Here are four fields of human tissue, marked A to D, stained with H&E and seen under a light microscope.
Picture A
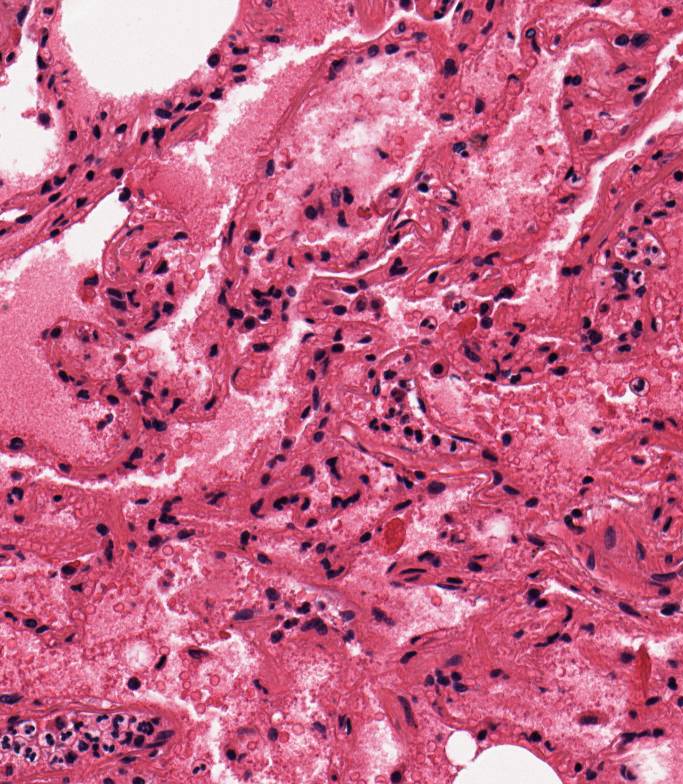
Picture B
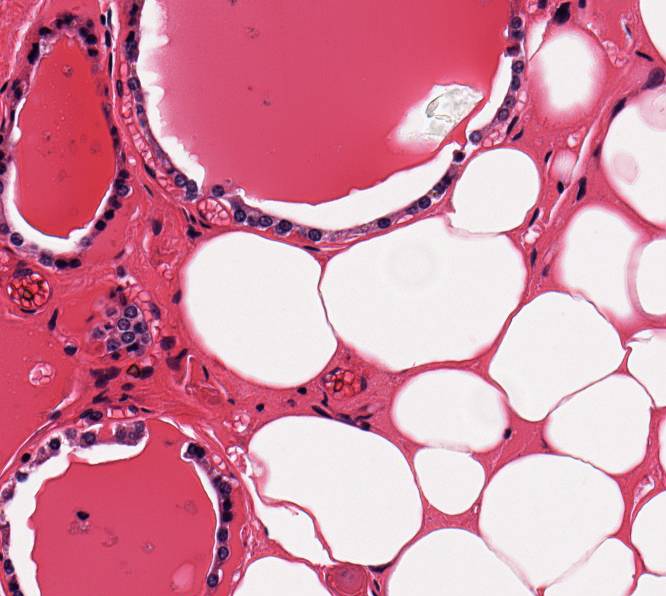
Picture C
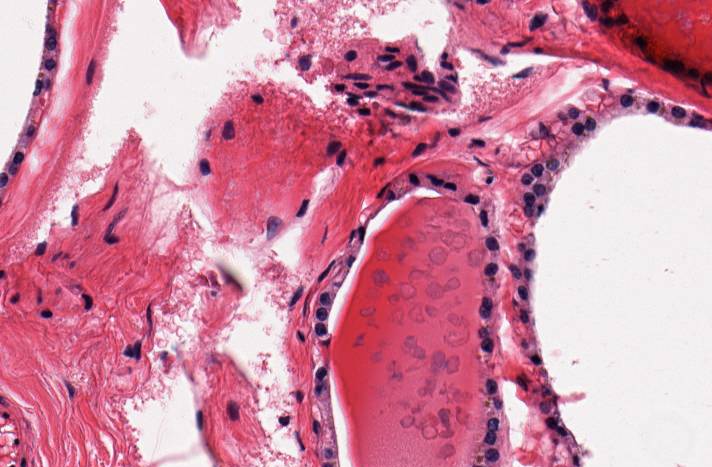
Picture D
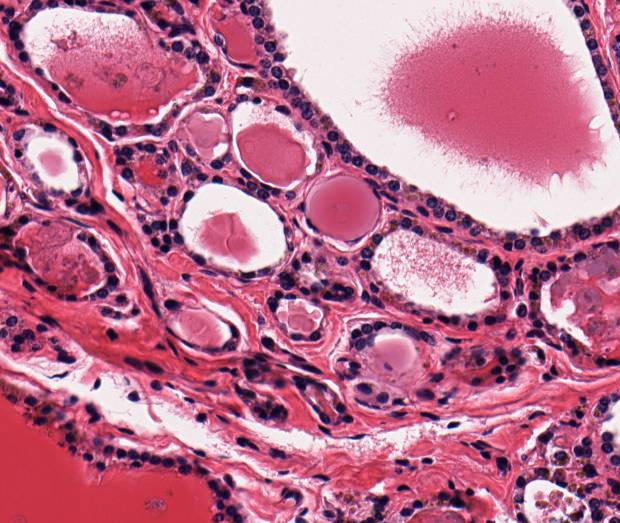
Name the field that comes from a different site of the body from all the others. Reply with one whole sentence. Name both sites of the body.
Picture A is the odd one out: it comes from the lung, while the others come from the thyroid.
